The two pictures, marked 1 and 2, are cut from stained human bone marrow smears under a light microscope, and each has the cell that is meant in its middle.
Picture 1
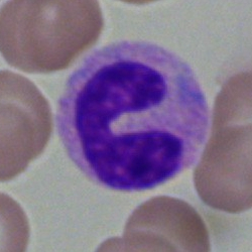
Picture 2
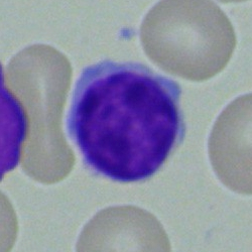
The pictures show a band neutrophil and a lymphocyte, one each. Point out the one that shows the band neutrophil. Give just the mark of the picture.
1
